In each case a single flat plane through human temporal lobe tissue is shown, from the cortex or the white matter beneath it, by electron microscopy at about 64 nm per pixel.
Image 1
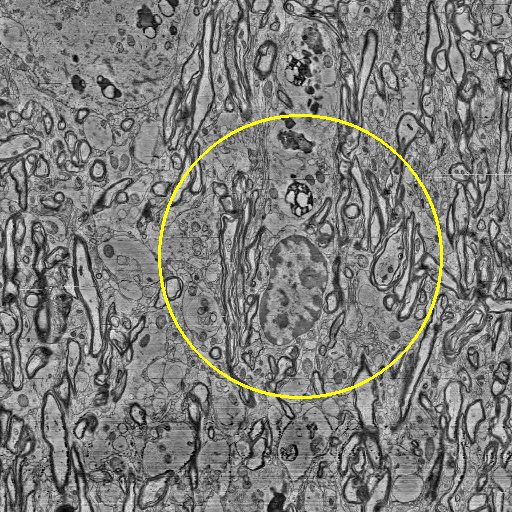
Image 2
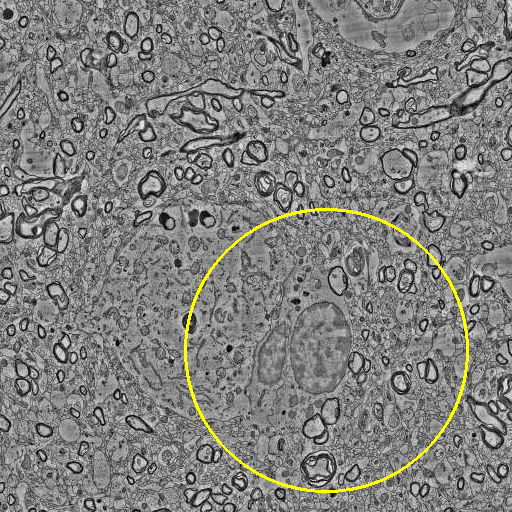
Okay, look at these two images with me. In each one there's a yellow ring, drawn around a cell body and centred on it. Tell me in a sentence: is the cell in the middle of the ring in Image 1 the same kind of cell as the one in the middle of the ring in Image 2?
No, they're two kinds of cell.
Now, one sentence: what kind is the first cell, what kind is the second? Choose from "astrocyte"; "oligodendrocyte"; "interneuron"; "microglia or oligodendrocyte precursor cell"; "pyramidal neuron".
The first picture has a microglial cell or oligodendrocyte precursor cell at its ring centre, and the second has an oligodendrocyte.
